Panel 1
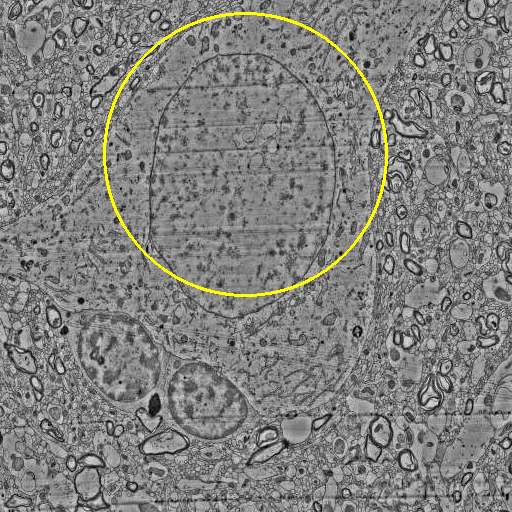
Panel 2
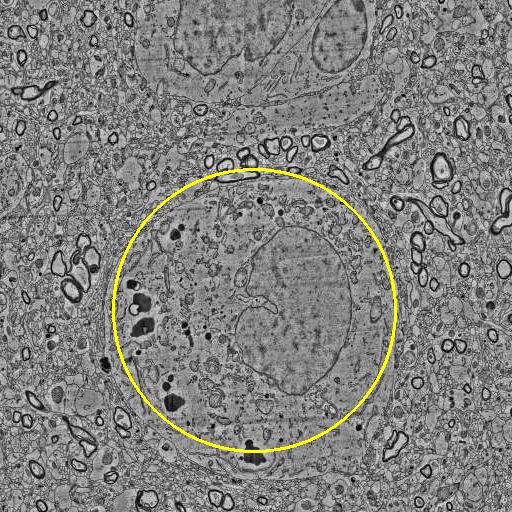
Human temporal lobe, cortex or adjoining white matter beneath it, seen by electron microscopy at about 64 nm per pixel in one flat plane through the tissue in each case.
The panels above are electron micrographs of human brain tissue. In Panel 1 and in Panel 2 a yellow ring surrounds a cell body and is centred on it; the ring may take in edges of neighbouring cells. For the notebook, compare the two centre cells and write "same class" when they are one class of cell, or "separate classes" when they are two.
same class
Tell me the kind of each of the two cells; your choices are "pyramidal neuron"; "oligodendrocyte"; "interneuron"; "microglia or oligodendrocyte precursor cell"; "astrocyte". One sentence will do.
Each of the ringed cells, first and second, is a pyramidal neuron.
